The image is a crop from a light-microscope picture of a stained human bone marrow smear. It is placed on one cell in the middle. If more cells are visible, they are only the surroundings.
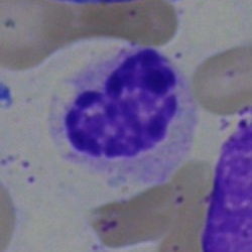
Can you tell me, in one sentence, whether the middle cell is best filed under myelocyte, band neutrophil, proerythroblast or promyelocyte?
Present in the middle of the crop is a band neutrophil.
